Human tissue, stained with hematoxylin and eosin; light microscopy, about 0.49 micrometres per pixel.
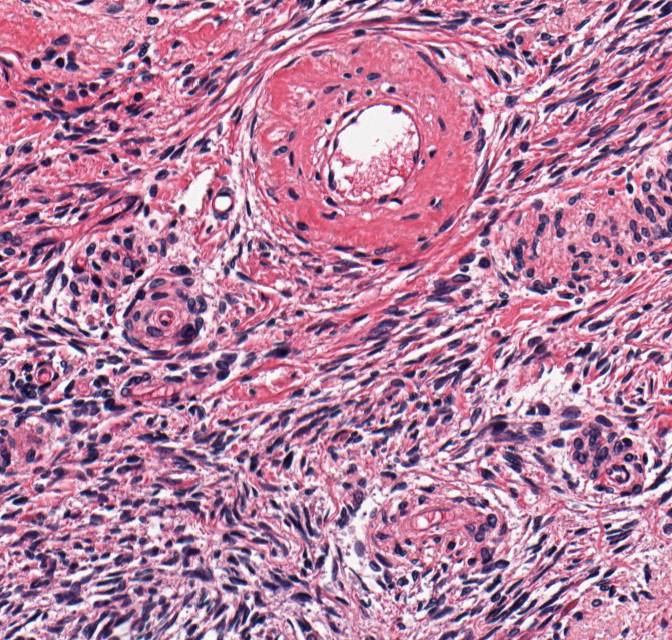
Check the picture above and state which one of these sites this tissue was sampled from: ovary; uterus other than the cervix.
ovary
